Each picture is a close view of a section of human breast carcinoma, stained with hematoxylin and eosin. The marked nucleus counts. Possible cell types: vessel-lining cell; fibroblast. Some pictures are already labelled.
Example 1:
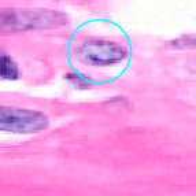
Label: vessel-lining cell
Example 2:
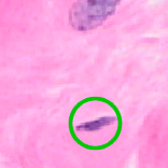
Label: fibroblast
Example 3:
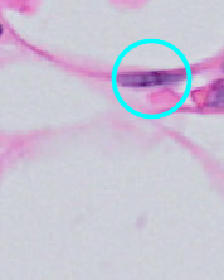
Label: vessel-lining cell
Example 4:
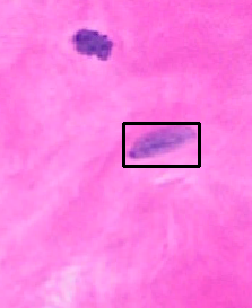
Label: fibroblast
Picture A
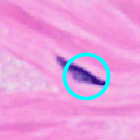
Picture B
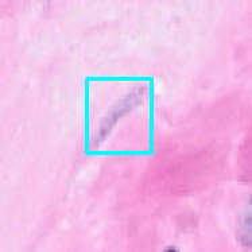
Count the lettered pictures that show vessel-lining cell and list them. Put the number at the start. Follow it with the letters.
0, none of them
